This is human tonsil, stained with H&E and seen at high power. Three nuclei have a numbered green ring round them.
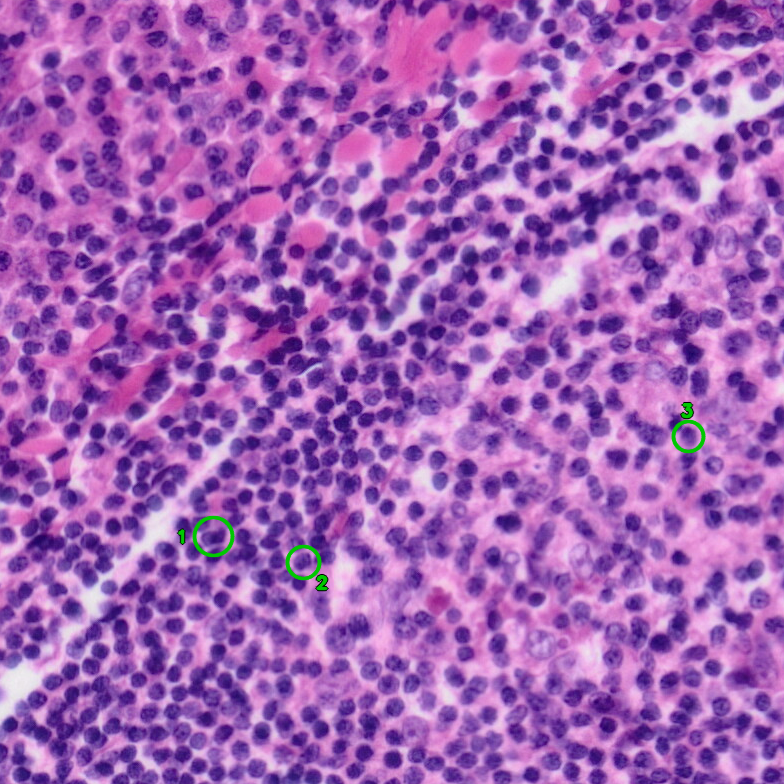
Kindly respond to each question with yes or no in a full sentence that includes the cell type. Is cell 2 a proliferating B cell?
No, cell 2 is not a proliferating B cell. It is a small lymphocyte.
